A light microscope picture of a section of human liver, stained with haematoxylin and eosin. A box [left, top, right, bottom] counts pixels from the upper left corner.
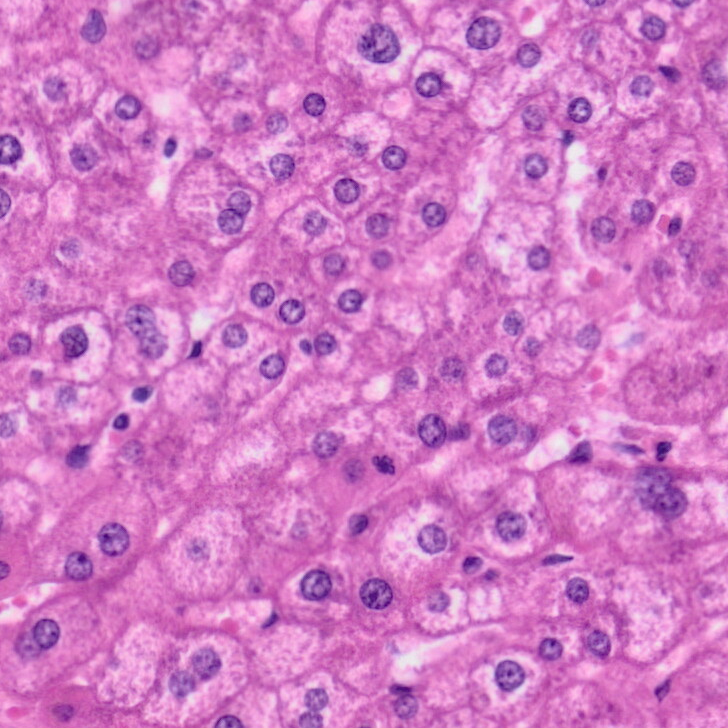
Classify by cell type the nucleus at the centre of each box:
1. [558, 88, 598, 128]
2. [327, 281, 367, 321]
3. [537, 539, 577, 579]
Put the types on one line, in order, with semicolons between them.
hepatocyte; hepatocyte; endothelial cell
